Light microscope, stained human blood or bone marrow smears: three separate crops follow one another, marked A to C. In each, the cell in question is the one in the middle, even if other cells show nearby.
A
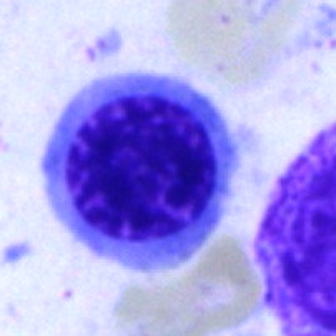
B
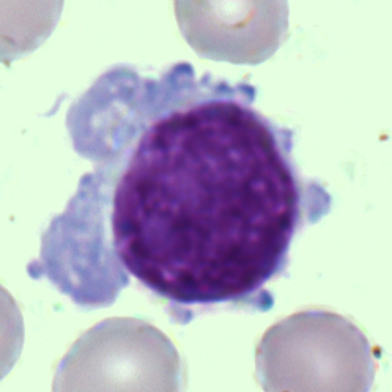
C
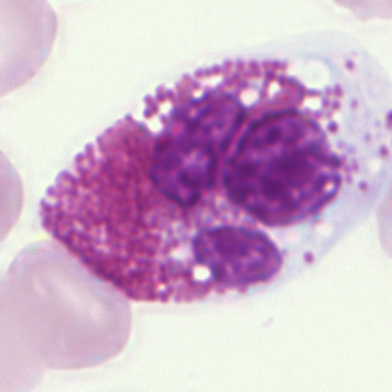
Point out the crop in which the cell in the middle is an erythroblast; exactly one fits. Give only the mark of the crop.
A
